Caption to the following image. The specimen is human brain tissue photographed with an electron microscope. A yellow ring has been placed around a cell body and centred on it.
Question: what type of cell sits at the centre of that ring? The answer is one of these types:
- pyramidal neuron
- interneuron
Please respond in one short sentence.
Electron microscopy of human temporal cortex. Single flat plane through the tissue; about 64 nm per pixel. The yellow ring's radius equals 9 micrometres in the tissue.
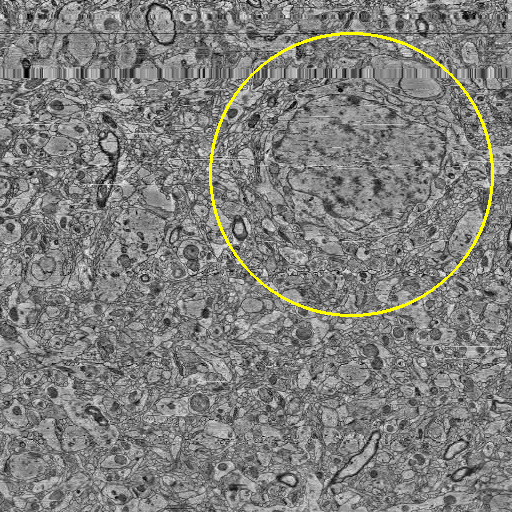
The ring surrounds the cell body of an interneuron.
